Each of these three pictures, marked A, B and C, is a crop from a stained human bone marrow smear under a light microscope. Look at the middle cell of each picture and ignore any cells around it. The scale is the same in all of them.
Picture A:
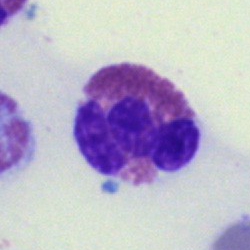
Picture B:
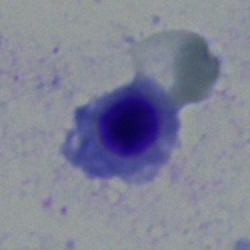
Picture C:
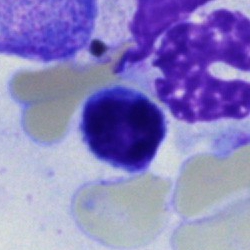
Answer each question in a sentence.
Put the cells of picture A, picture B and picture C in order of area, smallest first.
From the smallest up, the order is C, B, A.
